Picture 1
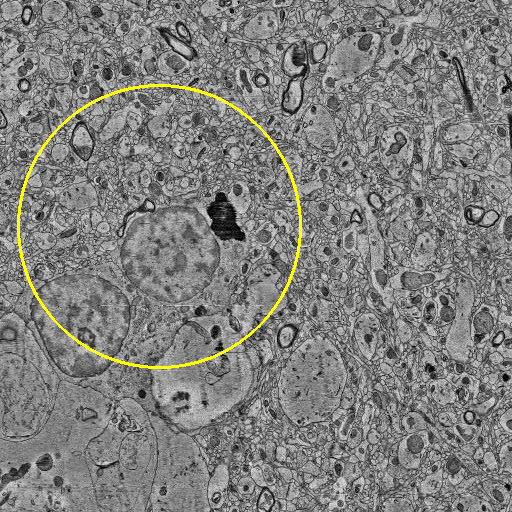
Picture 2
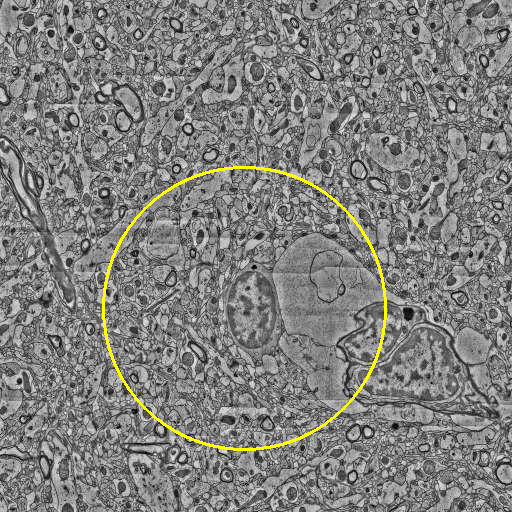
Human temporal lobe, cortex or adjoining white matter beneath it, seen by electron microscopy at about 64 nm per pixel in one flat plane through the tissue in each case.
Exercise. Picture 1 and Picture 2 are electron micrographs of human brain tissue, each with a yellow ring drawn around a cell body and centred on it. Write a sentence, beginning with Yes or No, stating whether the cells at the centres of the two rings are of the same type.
Yes, the cells at the centres of both rings are of the same type.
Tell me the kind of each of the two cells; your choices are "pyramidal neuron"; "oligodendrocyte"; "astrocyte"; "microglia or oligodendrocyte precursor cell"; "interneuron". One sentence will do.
Each cell at the centre of a ring is an oligodendrocyte.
